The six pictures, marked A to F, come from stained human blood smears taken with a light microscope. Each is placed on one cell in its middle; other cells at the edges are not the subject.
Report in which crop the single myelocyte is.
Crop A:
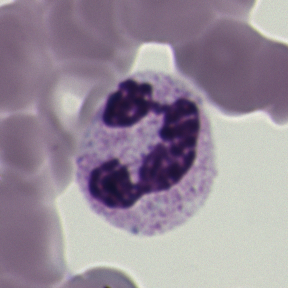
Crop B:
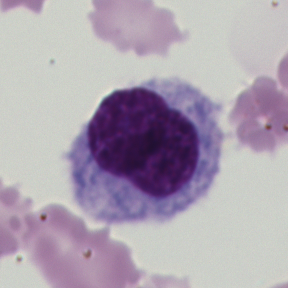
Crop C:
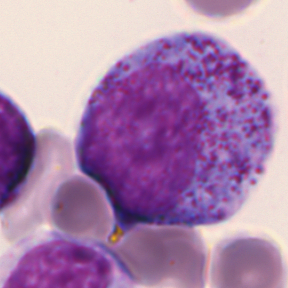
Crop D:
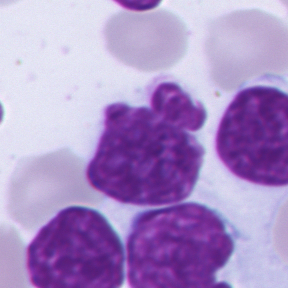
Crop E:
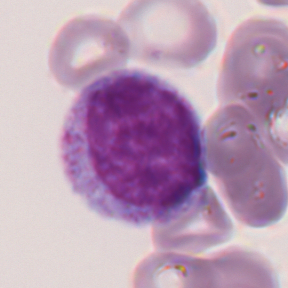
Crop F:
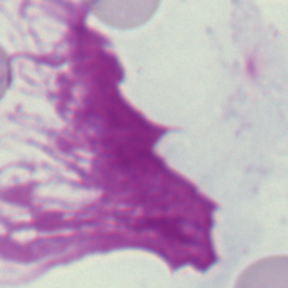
E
